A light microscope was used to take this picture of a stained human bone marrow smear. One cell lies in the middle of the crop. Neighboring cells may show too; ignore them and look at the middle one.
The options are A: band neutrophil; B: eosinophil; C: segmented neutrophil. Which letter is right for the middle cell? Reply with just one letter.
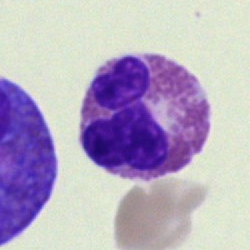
B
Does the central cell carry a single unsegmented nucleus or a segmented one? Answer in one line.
It is worth mentioning that the nucleus carries two or more lobes.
